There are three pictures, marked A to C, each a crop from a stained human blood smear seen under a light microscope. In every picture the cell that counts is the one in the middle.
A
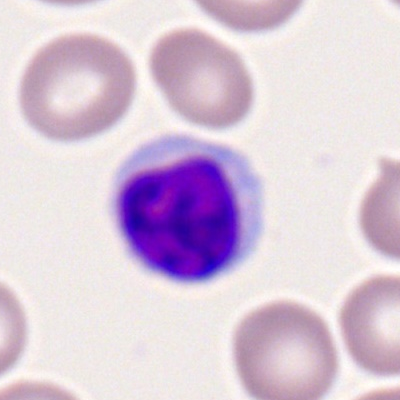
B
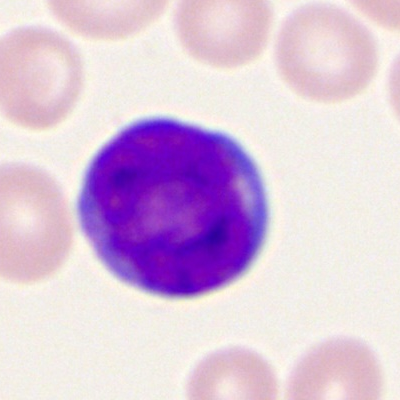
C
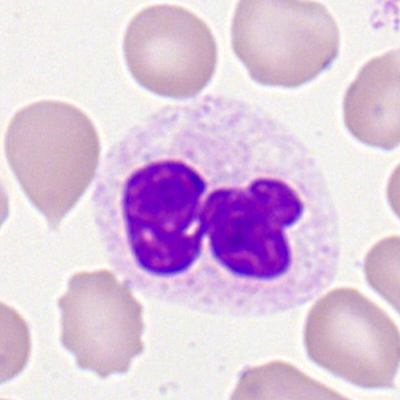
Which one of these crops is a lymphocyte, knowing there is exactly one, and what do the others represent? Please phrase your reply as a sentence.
Inside crop A there is a lymphocyte, while crop B is a blast and crop C is a neutrophil.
